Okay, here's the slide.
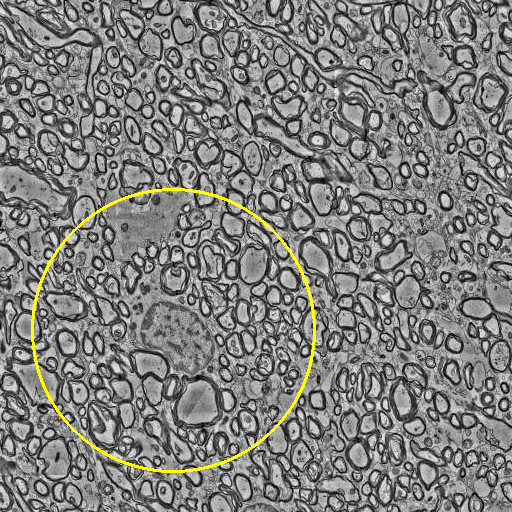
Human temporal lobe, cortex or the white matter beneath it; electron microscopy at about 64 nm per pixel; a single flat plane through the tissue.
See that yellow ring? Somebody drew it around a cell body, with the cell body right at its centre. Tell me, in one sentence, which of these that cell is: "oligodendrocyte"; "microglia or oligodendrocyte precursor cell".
The cell in the middle of the ring is an oligodendrocyte.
